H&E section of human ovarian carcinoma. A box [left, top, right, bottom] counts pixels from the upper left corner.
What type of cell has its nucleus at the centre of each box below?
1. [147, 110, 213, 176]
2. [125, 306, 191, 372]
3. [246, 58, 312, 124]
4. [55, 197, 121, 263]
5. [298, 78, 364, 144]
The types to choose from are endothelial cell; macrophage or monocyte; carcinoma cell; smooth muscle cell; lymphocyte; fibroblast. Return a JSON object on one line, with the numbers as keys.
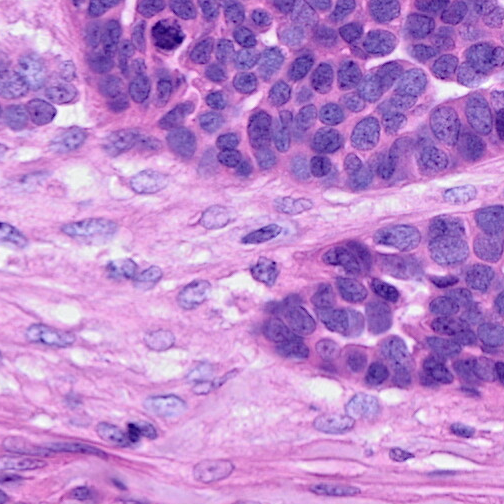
{"1": "carcinoma cell", "2": "fibroblast", "3": "carcinoma cell", "4": "fibroblast", "5": "carcinoma cell"}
